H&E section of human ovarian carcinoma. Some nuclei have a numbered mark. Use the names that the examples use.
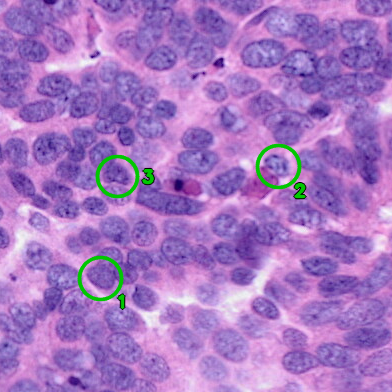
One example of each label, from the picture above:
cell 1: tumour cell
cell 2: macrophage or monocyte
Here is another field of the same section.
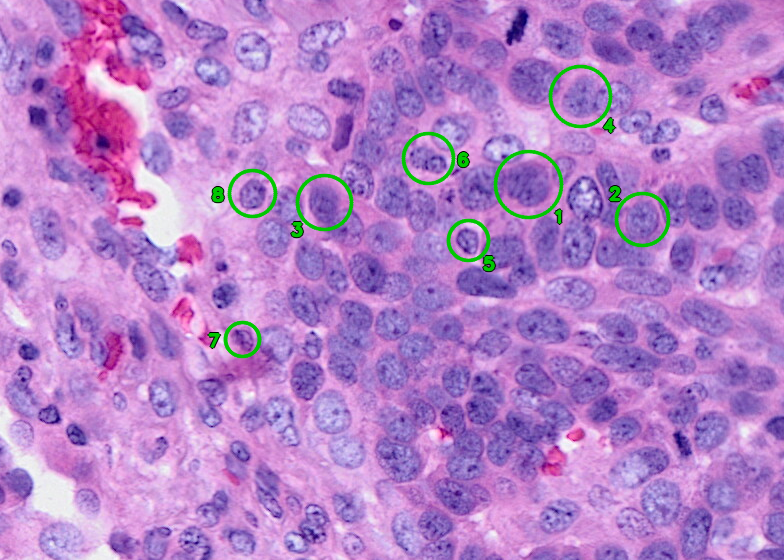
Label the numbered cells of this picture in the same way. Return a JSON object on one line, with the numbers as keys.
{"1": "tumour cell", "2": "tumour cell", "3": "tumour cell", "4": "tumour cell", "5": "macrophage or monocyte", "6": "macrophage or monocyte", "7": "macrophage or monocyte", "8": "macrophage or monocyte"}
